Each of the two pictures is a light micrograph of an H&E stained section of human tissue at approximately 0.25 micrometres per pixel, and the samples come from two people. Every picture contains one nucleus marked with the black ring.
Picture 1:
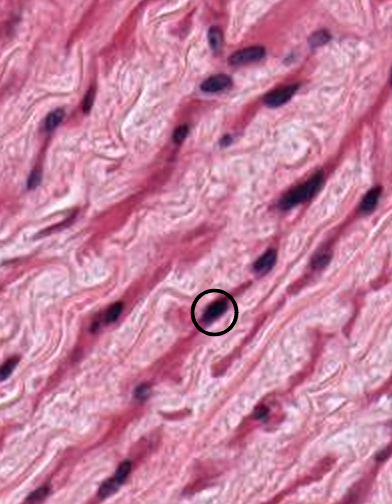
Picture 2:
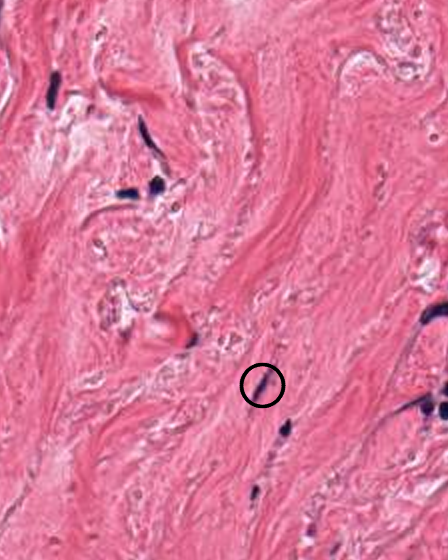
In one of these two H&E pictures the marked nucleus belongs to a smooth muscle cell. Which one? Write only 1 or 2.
1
